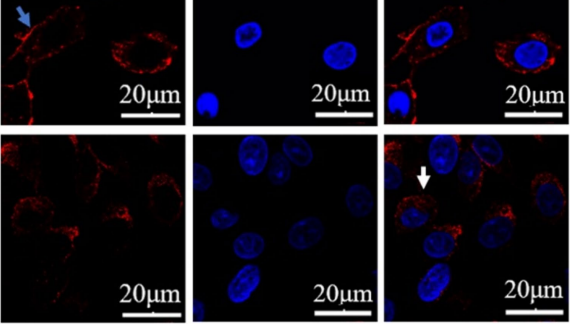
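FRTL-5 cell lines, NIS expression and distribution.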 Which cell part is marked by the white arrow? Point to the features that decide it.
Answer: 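Cytoplasm. The white arrow points at red dots lying inside the cell between nucleus and cell border. Red label here is granular and diffuse rather than a sharp outline.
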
